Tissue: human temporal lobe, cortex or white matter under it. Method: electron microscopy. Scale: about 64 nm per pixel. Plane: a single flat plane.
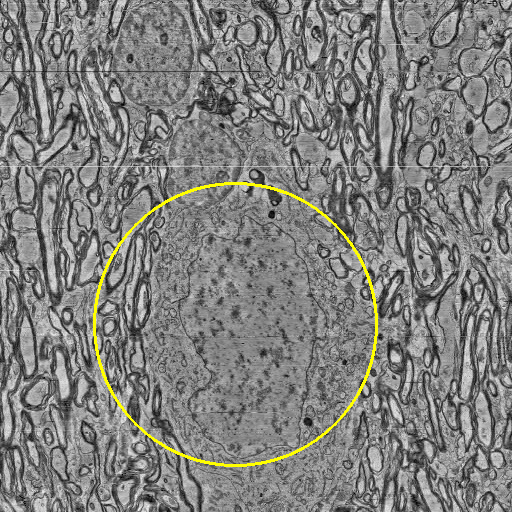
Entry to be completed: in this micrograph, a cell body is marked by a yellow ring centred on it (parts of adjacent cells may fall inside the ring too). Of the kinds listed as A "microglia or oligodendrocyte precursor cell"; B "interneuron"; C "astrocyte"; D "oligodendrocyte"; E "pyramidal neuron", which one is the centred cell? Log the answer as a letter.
E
